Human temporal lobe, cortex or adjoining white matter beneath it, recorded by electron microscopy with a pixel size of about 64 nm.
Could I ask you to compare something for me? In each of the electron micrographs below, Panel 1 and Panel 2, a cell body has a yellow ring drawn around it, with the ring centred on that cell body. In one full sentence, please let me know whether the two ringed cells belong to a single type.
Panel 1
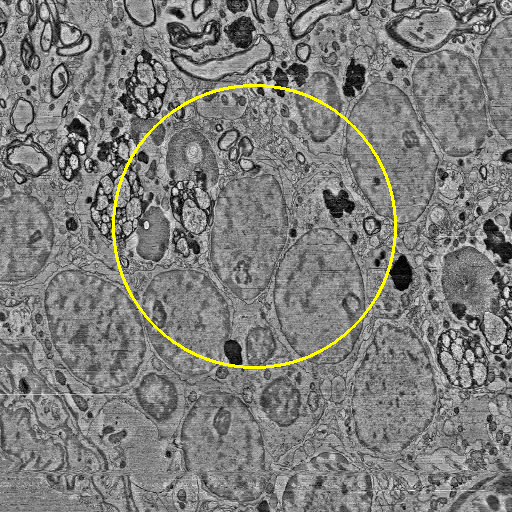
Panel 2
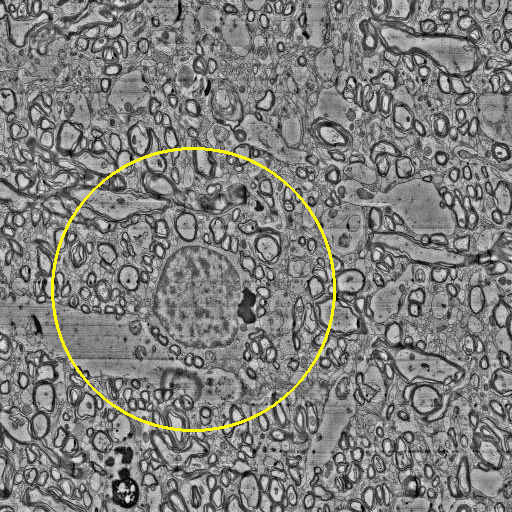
Yes, the two cells at the centres of the rings are of one type.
